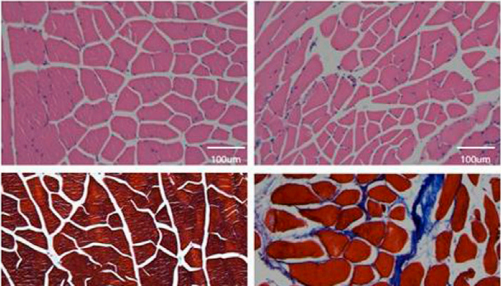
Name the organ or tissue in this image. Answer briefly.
Skeletal muscle.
